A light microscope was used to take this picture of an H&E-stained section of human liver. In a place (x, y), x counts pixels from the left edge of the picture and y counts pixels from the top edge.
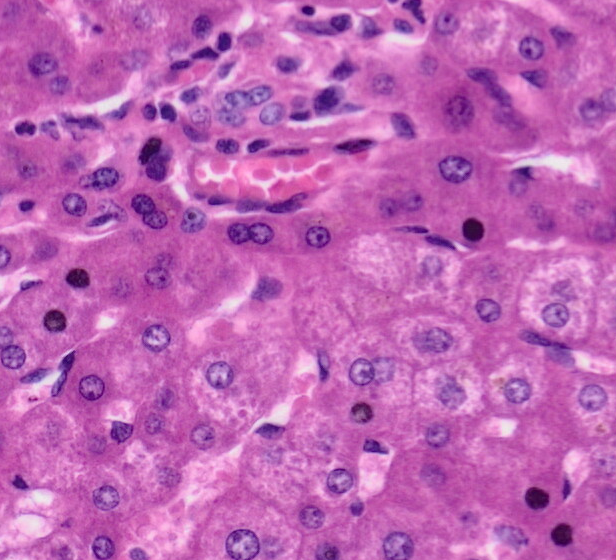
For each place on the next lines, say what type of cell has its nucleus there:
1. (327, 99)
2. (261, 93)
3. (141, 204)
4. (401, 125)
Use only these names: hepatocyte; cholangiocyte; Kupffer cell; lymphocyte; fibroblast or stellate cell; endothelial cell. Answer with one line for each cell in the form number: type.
1: fibroblast or stellate cell
2: cholangiocyte
3: cholangiocyte
4: fibroblast or stellate cell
